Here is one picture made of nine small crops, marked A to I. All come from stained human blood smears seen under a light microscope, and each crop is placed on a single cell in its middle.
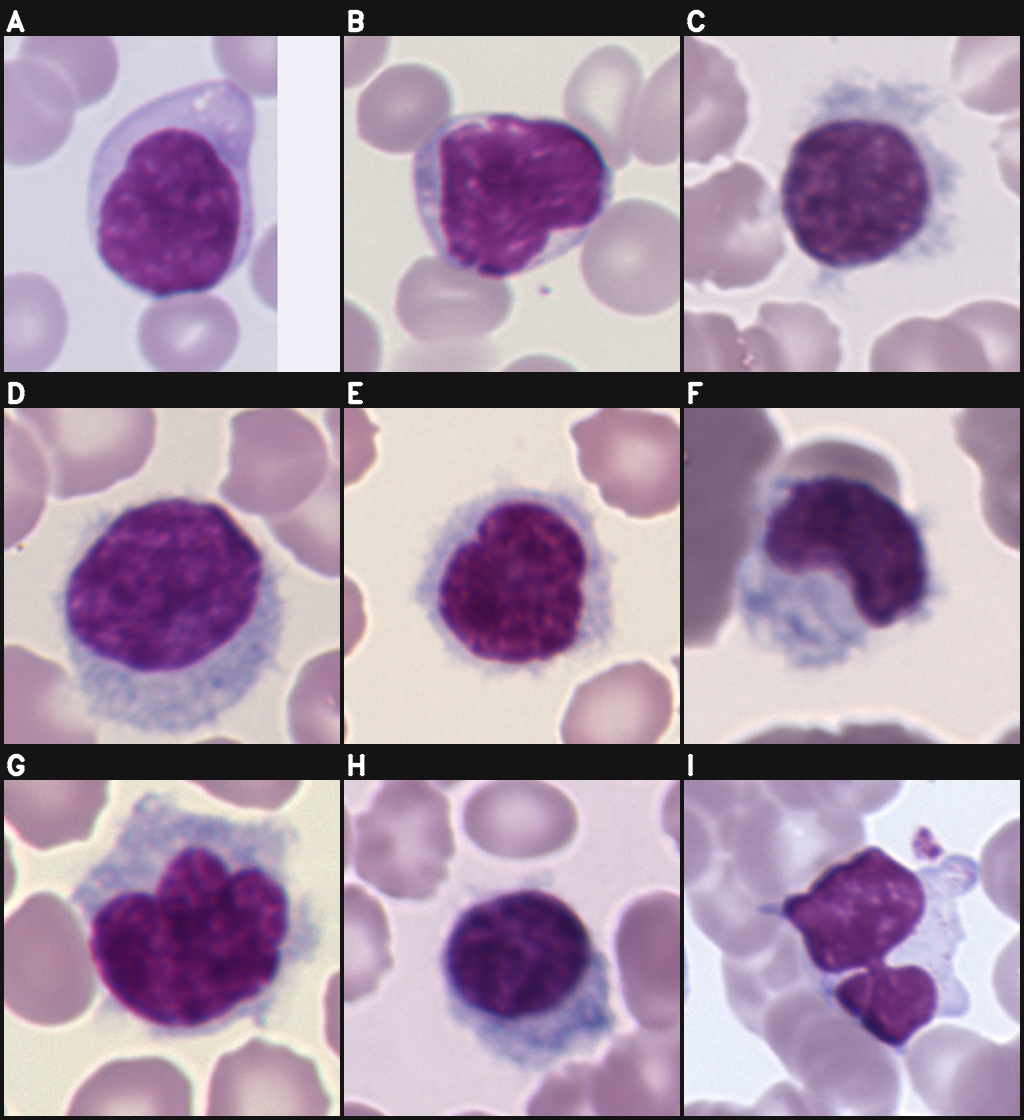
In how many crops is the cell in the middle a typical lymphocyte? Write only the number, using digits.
0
